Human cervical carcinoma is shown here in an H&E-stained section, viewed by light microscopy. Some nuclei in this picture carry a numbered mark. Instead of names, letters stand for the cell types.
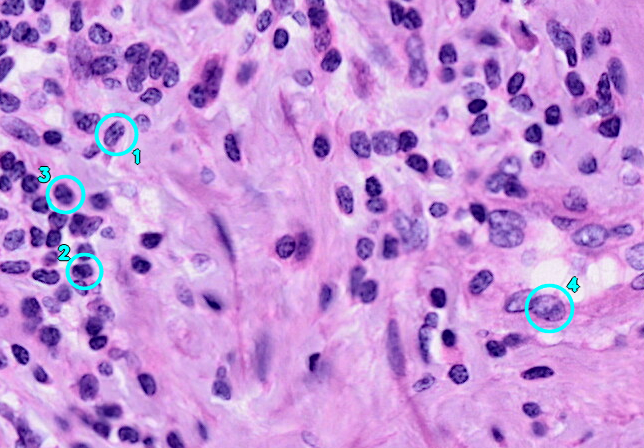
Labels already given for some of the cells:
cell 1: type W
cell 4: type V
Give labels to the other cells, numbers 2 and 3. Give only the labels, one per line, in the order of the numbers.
type W
type W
